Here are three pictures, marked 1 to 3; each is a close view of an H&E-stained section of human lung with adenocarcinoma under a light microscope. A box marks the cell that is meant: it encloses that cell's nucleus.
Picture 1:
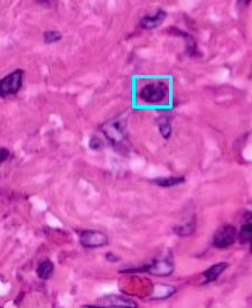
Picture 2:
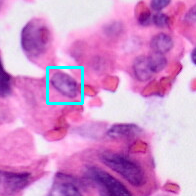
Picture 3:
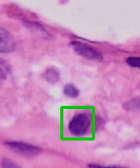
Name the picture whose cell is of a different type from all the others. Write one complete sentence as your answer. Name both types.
Unlike the rest, which show plasma cells, picture 2 shows a “macrophage or monocyte”.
